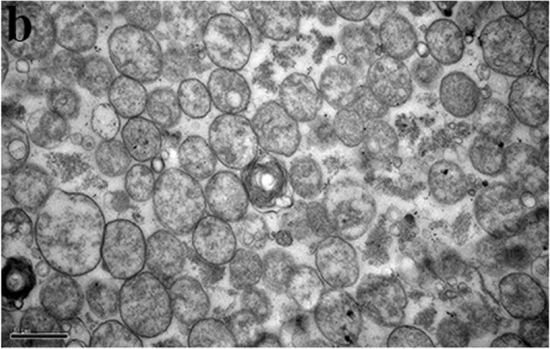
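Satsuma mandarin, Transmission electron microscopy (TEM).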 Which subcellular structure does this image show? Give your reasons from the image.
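Isolated mitochondria. Many round membrane-bounded organelles packed side by side. No intact cells, walls or nuclei around them.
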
